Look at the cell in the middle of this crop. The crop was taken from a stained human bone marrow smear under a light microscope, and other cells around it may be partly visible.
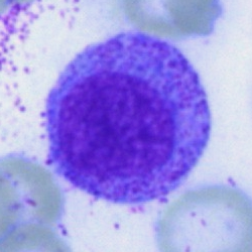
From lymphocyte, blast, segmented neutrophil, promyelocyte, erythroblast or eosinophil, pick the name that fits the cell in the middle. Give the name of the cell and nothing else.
promyelocyte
